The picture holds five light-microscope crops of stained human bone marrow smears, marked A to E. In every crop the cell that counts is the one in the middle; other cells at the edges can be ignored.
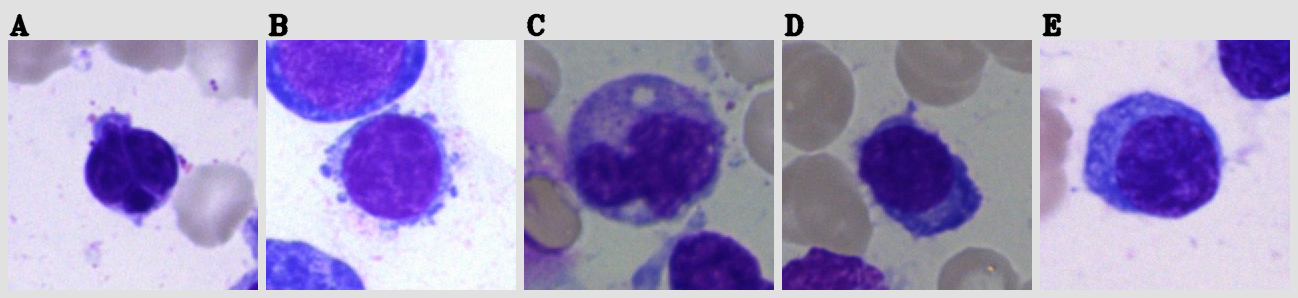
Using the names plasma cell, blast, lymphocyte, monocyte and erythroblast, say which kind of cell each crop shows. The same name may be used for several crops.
A: lymphocyte
B: lymphocyte
C: monocyte
D: plasma cell
E: plasma cell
